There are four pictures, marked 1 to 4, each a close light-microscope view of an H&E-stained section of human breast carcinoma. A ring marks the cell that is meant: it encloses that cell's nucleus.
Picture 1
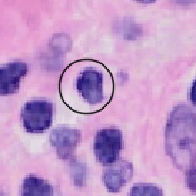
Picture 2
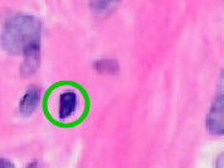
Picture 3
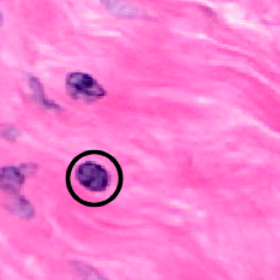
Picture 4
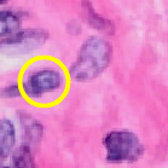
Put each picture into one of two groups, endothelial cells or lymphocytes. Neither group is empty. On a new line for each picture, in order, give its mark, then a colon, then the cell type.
1: lymphocyte
2: lymphocyte
3: lymphocyte
4: endothelial cell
